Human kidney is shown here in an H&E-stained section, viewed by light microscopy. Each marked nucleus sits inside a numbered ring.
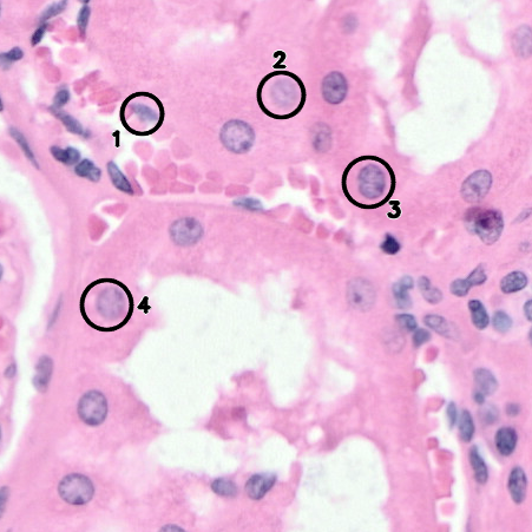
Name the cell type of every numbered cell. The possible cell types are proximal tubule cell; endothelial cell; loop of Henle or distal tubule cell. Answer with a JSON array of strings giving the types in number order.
["endothelial cell", "proximal tubule cell", "proximal tubule cell", "proximal tubule cell"]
